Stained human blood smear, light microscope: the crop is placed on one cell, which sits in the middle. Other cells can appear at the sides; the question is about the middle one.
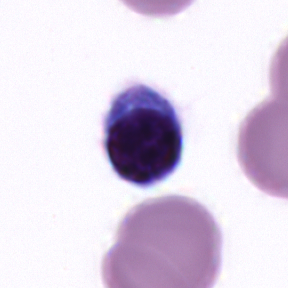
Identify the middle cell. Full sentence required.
In this smear crop, the middle cell is a plasma cell.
